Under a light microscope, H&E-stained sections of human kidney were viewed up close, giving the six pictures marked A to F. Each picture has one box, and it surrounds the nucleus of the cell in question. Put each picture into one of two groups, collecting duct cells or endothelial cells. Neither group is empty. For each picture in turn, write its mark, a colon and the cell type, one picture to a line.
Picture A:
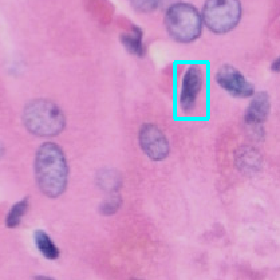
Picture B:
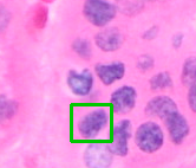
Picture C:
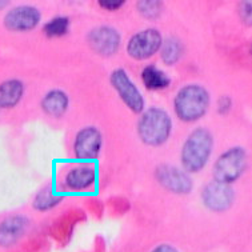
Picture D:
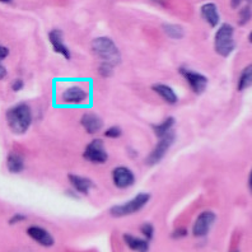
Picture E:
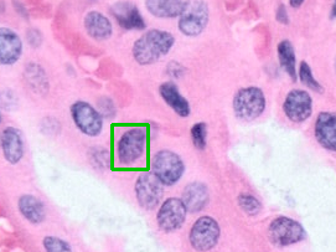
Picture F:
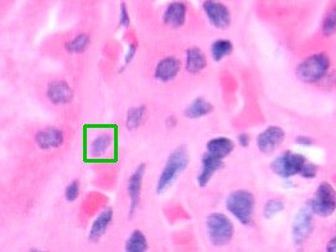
A: endothelial cell
B: collecting duct cell
C: collecting duct cell
D: endothelial cell
E: collecting duct cell
F: endothelial cell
